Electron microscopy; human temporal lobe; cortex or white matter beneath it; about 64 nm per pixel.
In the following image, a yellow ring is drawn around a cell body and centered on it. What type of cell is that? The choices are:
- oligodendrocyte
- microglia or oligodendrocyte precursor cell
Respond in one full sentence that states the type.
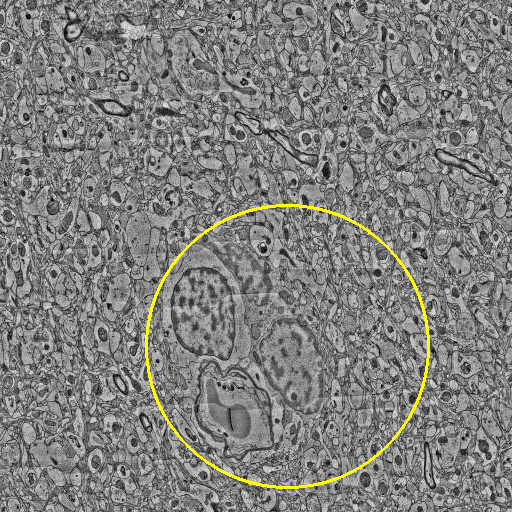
The cell at the center of the yellow ring in the image is an oligodendrocyte.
